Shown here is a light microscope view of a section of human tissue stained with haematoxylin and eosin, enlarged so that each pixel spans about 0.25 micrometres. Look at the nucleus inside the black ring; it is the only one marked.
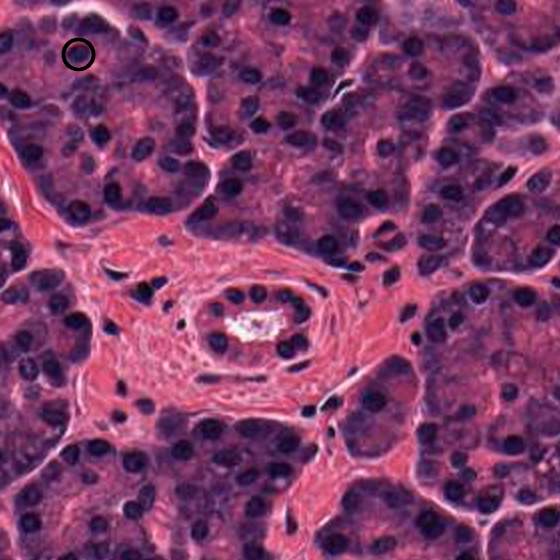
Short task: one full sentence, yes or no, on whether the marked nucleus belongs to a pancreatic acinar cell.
Yes, a pancreatic acinar cell holds the marked nucleus.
